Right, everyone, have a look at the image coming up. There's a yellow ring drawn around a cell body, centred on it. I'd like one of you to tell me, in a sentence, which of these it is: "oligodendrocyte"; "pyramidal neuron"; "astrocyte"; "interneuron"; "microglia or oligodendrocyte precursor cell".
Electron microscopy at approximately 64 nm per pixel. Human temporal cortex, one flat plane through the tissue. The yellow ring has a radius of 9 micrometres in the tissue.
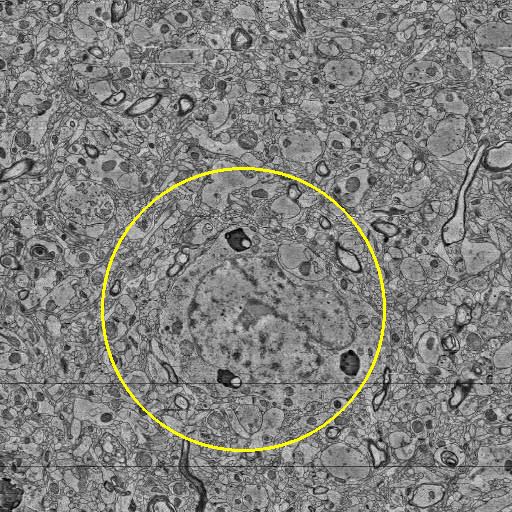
The yellow ring sits on an interneuron.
